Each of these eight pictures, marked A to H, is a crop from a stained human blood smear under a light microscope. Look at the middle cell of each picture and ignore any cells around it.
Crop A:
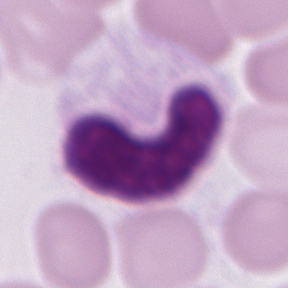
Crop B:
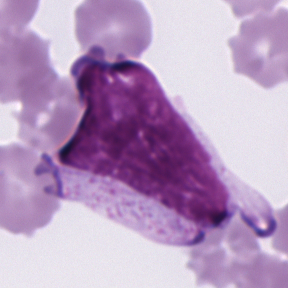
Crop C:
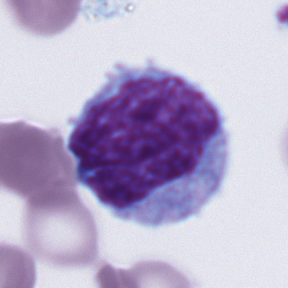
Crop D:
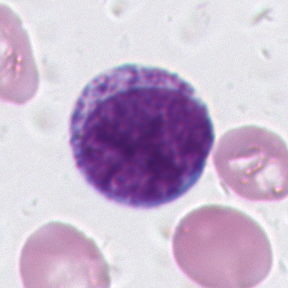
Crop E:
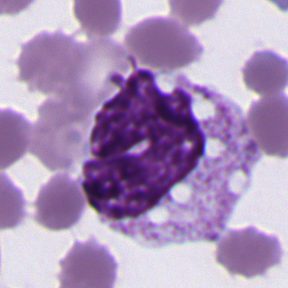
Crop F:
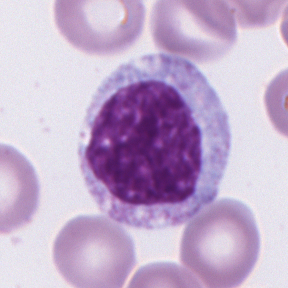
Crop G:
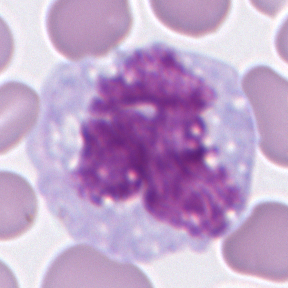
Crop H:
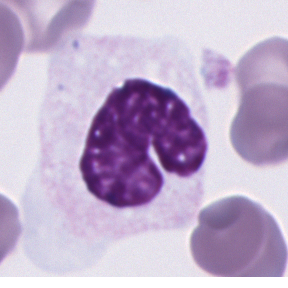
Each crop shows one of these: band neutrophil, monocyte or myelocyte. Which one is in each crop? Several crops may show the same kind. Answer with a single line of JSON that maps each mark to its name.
{"A": "band neutrophil", "B": "myelocyte", "C": "monocyte", "D": "myelocyte", "E": "band neutrophil", "F": "myelocyte", "G": "monocyte", "H": "band neutrophil"}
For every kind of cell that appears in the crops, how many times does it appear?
band neutrophil: 3
myelocyte: 3
monocyte: 2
